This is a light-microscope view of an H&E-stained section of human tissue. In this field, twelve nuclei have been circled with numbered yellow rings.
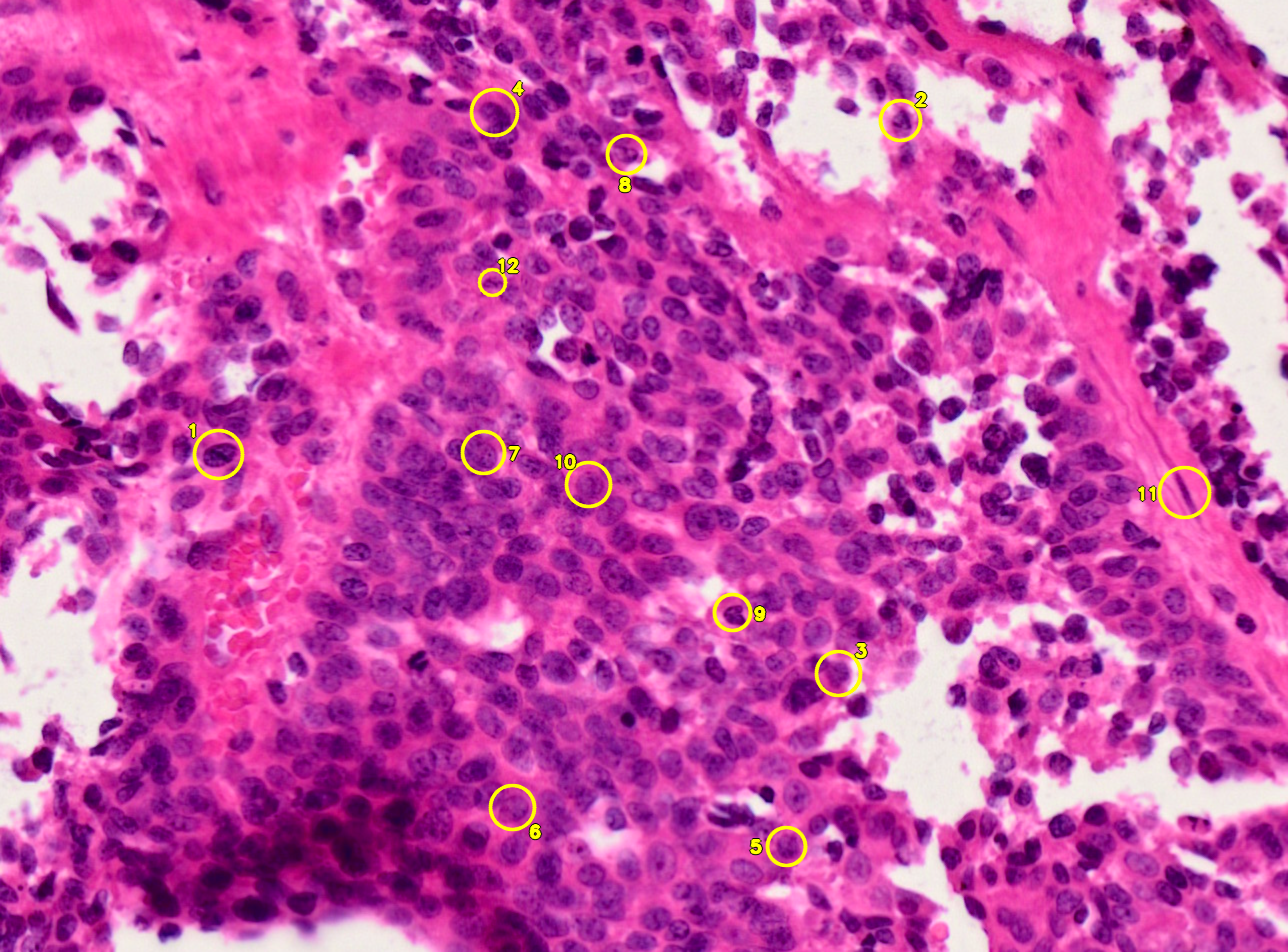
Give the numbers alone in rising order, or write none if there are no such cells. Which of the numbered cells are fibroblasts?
11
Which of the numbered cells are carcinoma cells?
3, 4, 5, 6, 7, 10, 12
